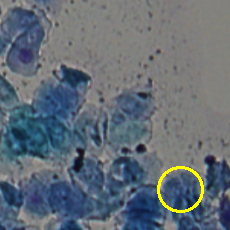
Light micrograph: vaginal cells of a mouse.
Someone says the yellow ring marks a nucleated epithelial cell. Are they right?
They are not: the ring marks a cornified epithelial cell.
